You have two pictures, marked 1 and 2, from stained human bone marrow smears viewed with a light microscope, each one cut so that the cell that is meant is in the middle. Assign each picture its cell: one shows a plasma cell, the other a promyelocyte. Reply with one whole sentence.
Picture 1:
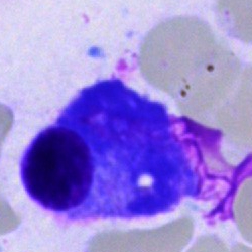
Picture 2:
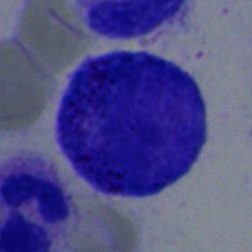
Picture 1 is of a plasma cell, and picture 2 is of a promyelocyte.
